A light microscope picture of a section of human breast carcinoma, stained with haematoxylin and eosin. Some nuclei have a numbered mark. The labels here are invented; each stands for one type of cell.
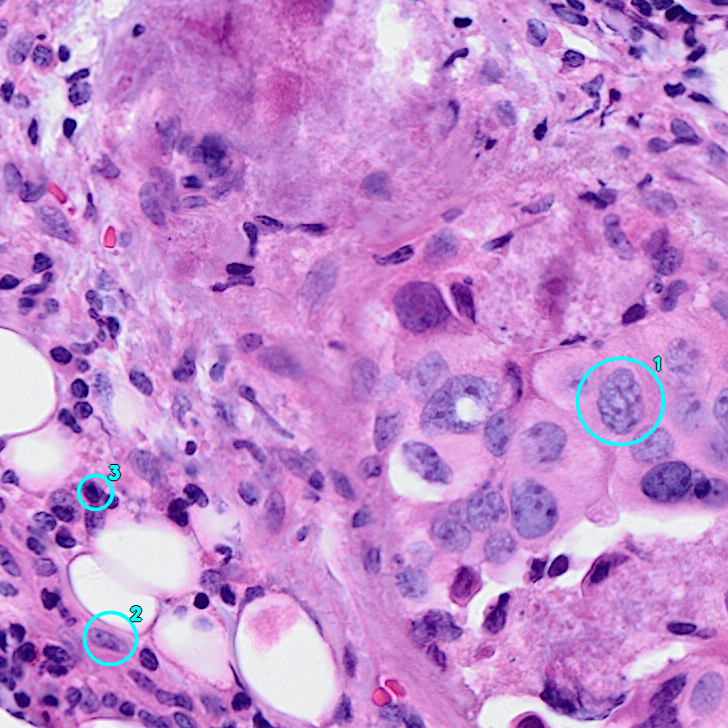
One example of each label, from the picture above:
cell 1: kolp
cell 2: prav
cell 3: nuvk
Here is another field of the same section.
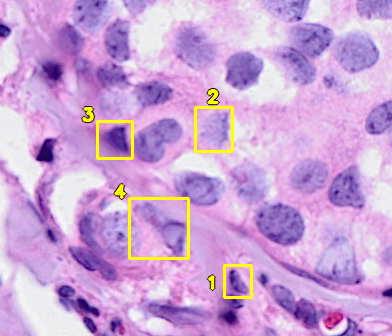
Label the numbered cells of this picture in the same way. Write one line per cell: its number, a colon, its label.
1: nuvk
2: kolp
3: kolp
4: kolp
